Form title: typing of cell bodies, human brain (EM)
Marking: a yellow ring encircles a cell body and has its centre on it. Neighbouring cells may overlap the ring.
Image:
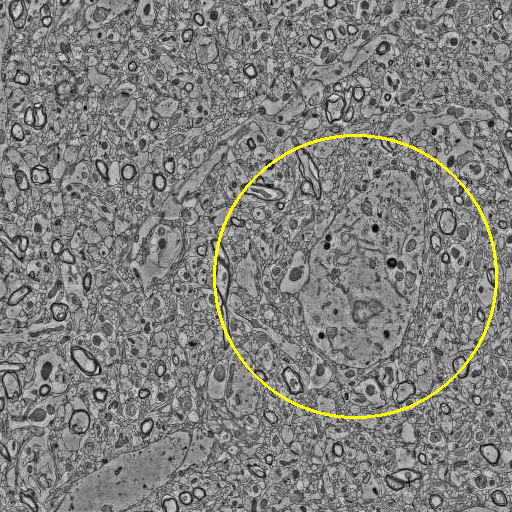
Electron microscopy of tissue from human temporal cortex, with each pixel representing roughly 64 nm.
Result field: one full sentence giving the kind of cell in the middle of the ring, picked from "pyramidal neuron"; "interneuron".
In the picture, the ring is centred on a pyramidal neuron, whose cell body it encircles.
